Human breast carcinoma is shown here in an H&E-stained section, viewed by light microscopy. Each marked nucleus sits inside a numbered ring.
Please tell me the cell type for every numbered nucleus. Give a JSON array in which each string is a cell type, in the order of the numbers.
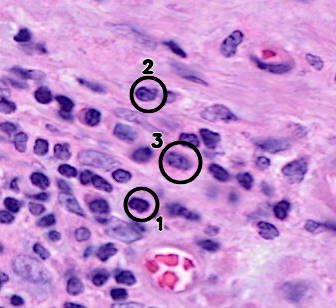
["lymphocyte", "lymphocyte", "mast cell"]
